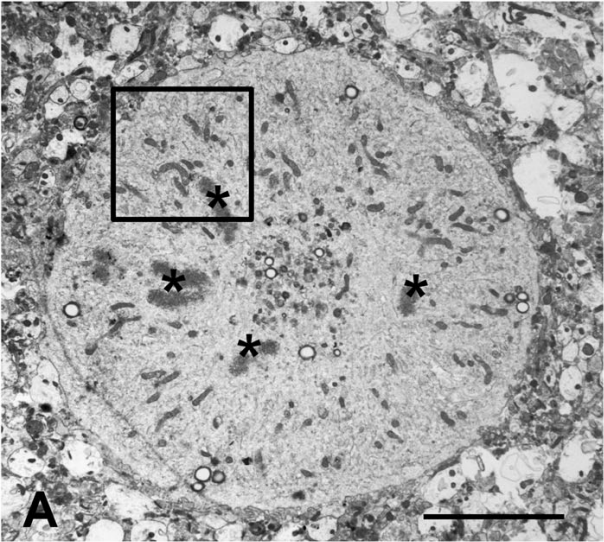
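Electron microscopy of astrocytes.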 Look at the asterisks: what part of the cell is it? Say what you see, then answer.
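Several dark, dense, irregular masses lie scattered within a large rounded cell body. No nuclear envelope surrounds the dense masses. The cell body is rounded and bounded from the surrounding neuropil.
Hence: Condensed chromosomes.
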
